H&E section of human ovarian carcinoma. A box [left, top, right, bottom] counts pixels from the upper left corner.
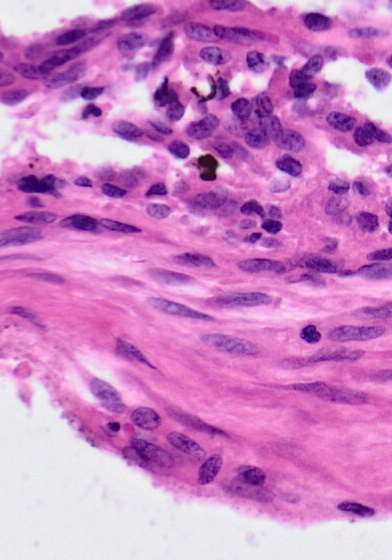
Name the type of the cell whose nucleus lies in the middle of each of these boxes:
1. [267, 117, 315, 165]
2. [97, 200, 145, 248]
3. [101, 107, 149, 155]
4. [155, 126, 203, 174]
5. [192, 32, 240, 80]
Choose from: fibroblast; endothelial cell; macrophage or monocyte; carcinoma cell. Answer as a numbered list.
1. carcinoma cell
2. endothelial cell
3. carcinoma cell
4. carcinoma cell
5. macrophage or monocyte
